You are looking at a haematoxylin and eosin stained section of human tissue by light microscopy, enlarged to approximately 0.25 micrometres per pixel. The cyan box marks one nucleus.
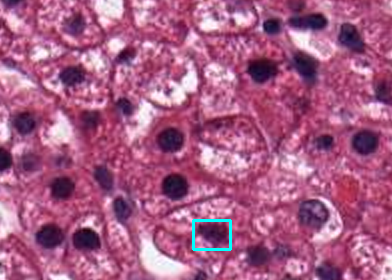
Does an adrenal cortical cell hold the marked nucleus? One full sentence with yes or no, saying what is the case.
Yes, the marked nucleus is in an adrenal cortical cell.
